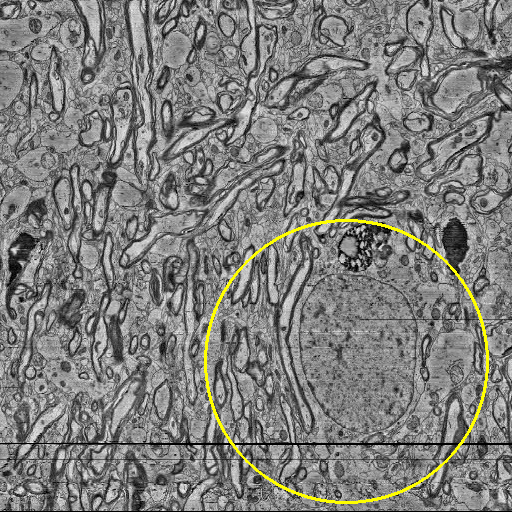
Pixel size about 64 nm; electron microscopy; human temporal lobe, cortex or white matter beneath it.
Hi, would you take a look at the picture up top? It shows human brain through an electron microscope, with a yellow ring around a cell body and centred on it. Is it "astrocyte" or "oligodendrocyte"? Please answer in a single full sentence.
The best fit for the cell in the middle of the ring is an astrocyte, I reckon.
